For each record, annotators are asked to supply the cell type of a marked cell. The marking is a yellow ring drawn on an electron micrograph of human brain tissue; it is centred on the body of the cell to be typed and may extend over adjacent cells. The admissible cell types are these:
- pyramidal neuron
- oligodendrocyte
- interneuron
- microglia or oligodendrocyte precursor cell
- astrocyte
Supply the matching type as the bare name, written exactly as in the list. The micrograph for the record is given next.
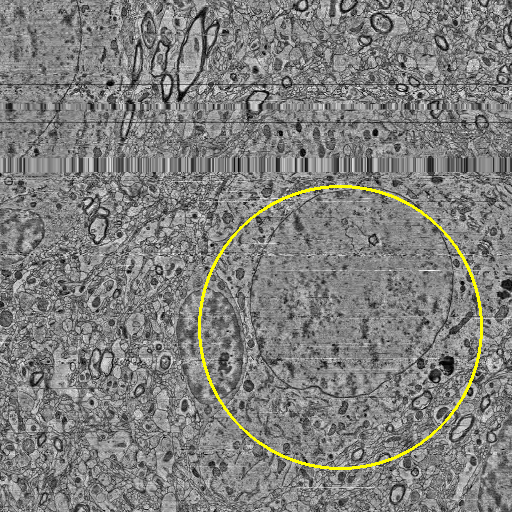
pyramidal neuron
